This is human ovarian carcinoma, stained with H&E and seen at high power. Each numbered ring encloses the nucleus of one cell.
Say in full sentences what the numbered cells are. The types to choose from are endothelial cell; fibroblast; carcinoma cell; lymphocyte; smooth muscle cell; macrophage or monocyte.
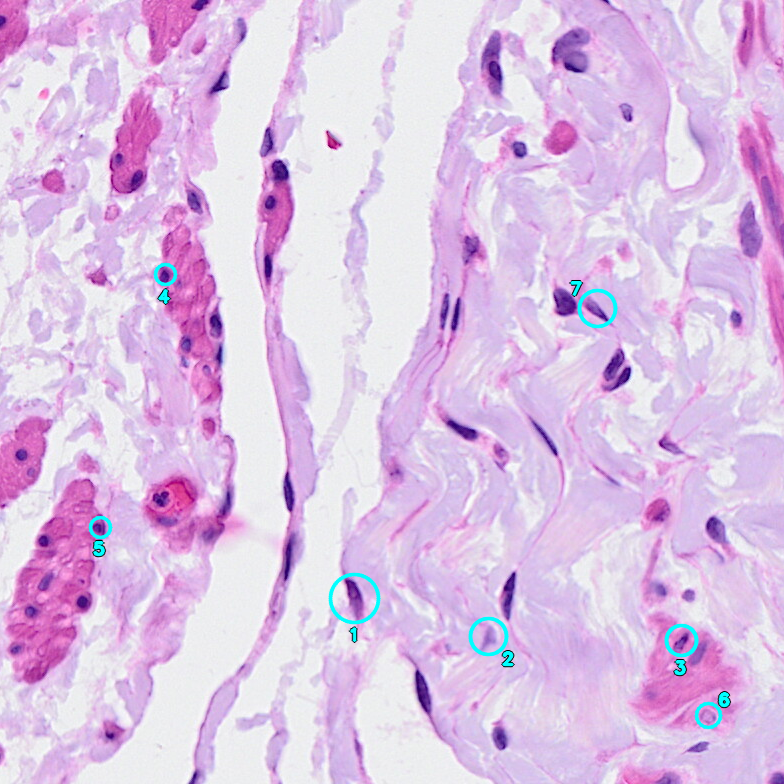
Cells 1, 2 and 7 are fibroblasts. Cells 3, 4, 5 and 6 are smooth muscle cells.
